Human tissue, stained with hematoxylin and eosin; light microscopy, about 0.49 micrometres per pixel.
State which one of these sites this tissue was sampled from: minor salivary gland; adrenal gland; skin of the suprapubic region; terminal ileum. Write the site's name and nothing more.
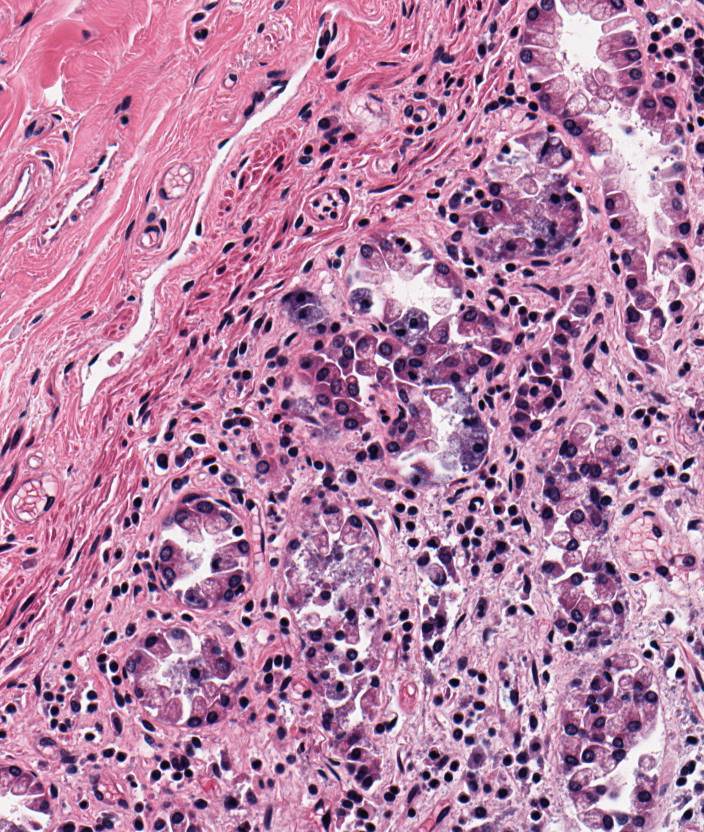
terminal ileum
